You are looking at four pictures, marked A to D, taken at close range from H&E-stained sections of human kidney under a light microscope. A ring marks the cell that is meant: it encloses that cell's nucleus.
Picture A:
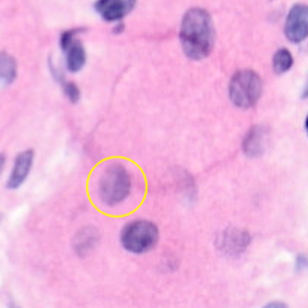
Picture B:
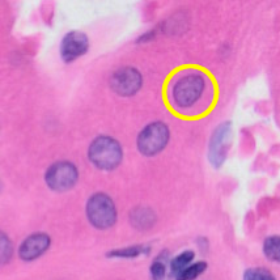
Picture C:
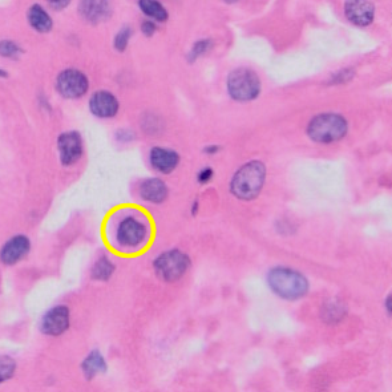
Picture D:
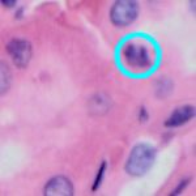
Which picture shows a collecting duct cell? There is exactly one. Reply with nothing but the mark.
D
